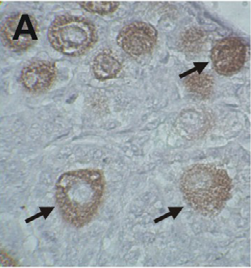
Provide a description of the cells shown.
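Some oocytes are more weakly stained than others. Around and between them lie small somatic cells with small dark blue-grey nuclei, some flattened against the oocyte surface. The surrounding tissue is pale and loosely textured, with little or no brown colour.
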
